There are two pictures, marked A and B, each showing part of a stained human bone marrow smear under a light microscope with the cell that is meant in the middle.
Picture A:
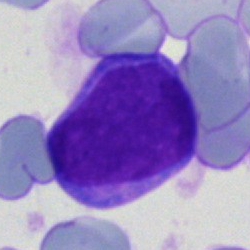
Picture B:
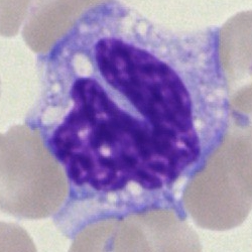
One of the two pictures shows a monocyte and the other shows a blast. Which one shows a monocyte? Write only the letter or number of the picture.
B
